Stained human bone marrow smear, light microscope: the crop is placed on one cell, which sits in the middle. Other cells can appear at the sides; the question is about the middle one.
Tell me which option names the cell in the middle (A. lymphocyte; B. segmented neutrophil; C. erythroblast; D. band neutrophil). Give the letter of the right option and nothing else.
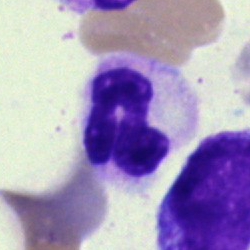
B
